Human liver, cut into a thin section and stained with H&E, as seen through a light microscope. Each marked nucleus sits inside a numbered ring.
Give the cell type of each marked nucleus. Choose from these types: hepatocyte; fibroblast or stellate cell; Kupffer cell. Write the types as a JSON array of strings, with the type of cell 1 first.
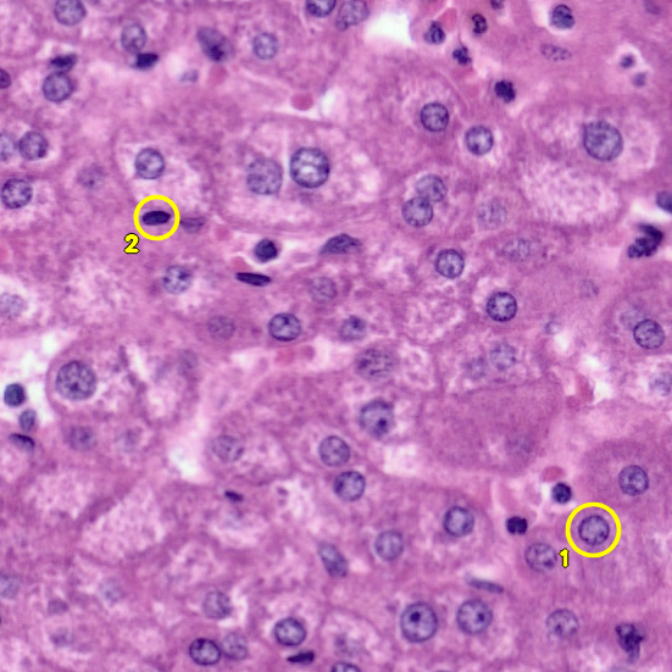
["hepatocyte", "fibroblast or stellate cell"]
